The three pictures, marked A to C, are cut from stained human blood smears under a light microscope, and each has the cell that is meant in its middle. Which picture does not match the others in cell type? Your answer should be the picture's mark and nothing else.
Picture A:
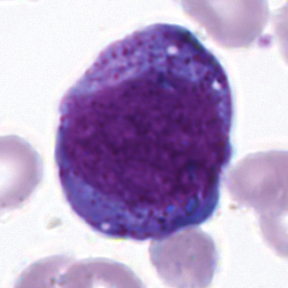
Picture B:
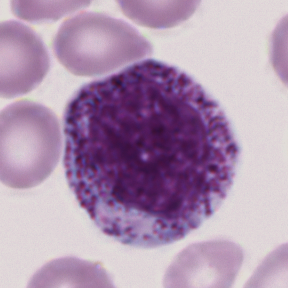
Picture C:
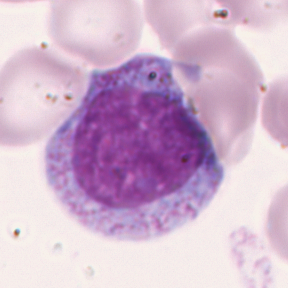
B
